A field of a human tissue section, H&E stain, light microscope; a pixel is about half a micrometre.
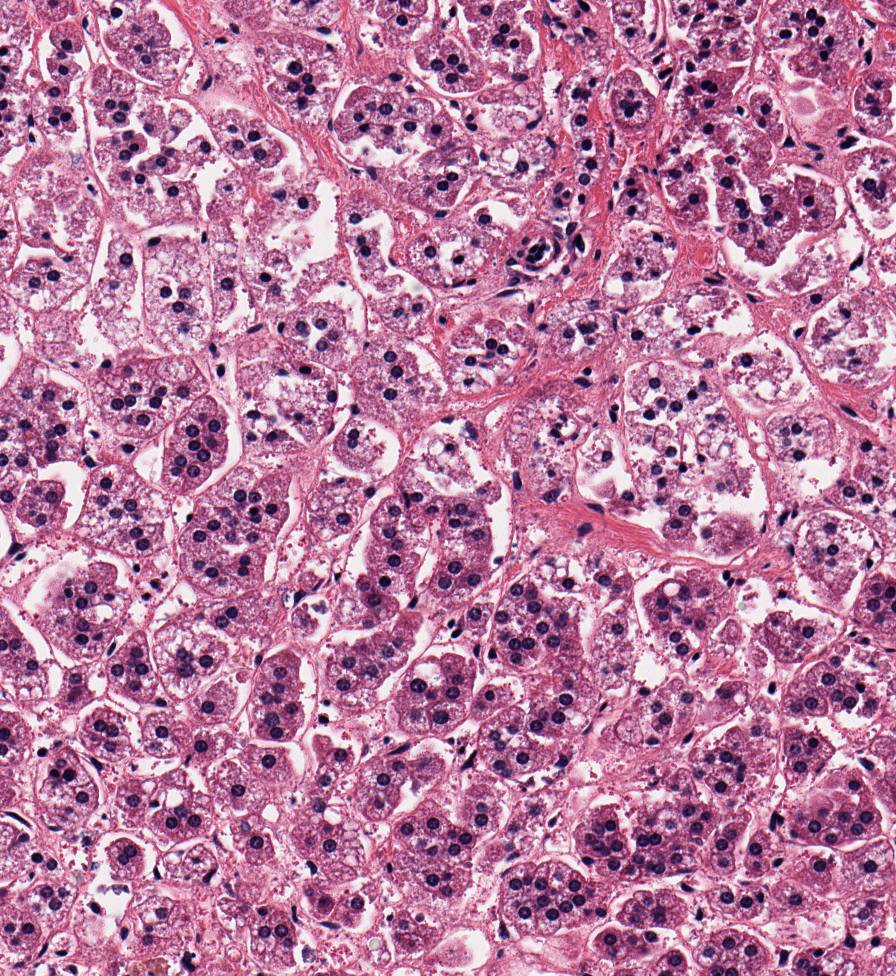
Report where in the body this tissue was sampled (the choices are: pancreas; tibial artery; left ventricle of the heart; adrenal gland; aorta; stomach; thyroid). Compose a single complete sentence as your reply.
Tissue of the adrenal gland was sampled to make this section.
